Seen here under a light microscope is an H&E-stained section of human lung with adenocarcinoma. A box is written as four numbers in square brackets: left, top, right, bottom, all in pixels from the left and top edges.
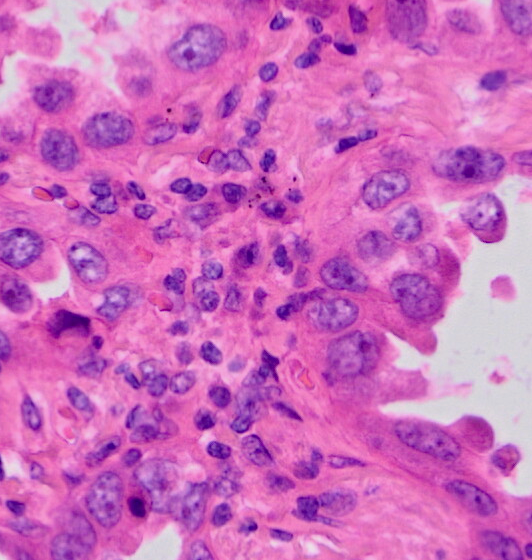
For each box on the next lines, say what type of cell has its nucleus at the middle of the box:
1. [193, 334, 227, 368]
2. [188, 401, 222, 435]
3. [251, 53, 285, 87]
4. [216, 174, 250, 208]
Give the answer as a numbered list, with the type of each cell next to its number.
1. lymphocyte
2. lymphocyte
3. mast cell
4. plasma cell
